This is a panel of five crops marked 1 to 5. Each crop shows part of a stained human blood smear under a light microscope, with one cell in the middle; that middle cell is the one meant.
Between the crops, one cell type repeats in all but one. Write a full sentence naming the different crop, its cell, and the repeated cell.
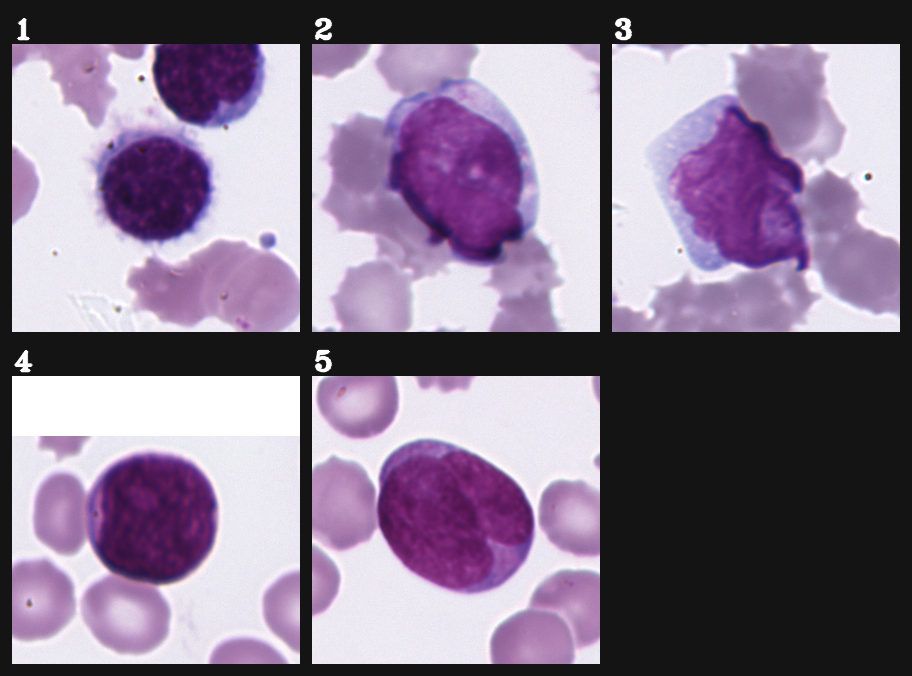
Crop 1 is the only crop with a hairy cell, the others all showing blasts.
